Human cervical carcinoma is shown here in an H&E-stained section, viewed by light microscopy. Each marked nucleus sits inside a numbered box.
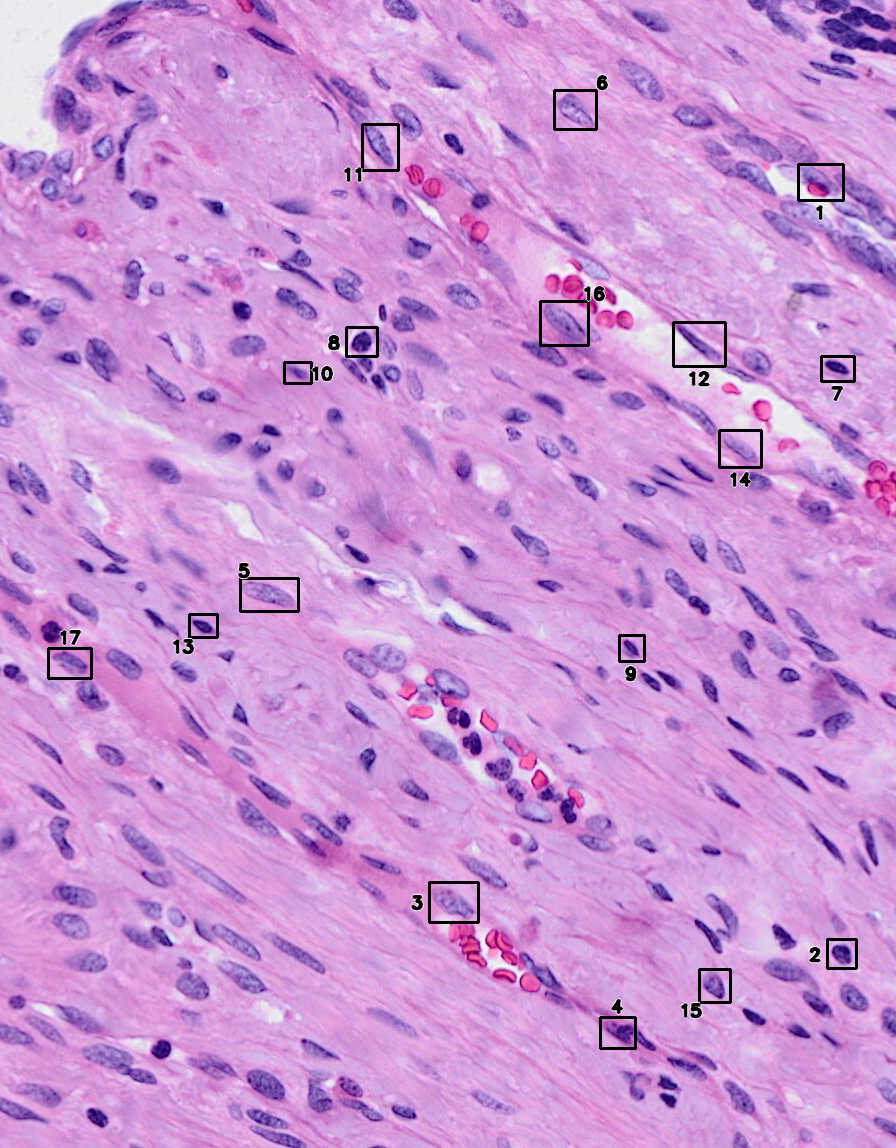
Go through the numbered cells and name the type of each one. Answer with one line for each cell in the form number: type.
1: endothelial cell
2: lymphocyte
3: endothelial cell
4: endothelial cell
5: smooth muscle cell
6: smooth muscle cell
7: lymphocyte
8: lymphocyte
9: fibroblast
10: fibroblast
11: endothelial cell
12: endothelial cell
13: fibroblast
14: endothelial cell
15: fibroblast
16: endothelial cell
17: endothelial cell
